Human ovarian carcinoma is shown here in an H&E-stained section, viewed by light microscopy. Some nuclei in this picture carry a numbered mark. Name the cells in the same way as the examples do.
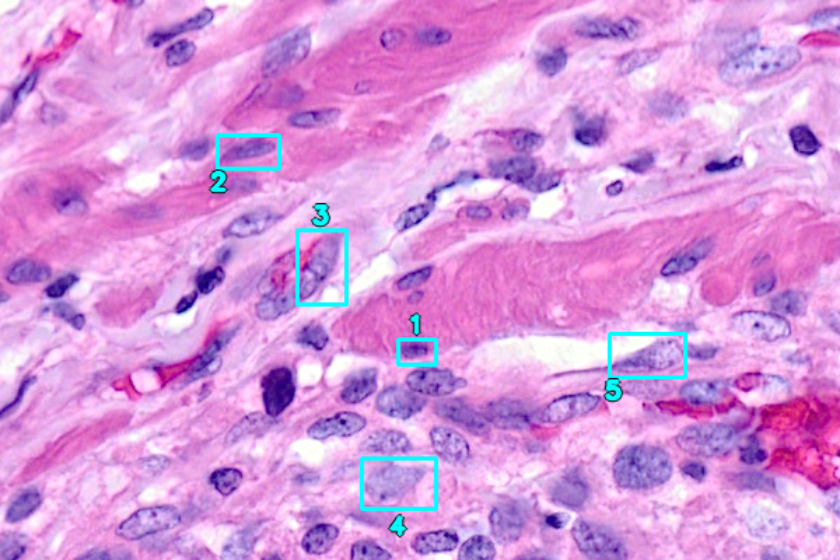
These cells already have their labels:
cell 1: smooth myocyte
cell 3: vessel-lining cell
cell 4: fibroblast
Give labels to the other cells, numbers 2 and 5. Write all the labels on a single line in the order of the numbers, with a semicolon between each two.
smooth myocyte; vessel-lining cell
